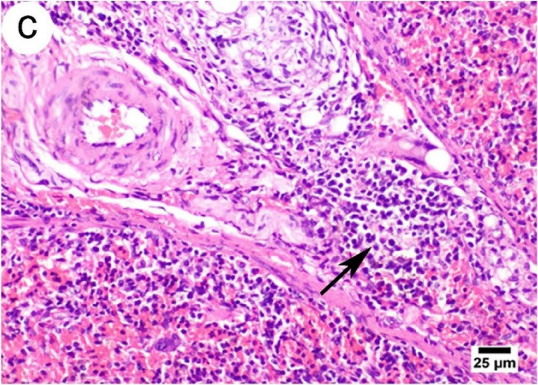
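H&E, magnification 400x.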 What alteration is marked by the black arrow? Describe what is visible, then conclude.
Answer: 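Inflammatory cell infiltration. The arrow points to a dense cluster of small round dark-nucleated cells. The cluster lies in the connective tissue beside a thick-walled vessel.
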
